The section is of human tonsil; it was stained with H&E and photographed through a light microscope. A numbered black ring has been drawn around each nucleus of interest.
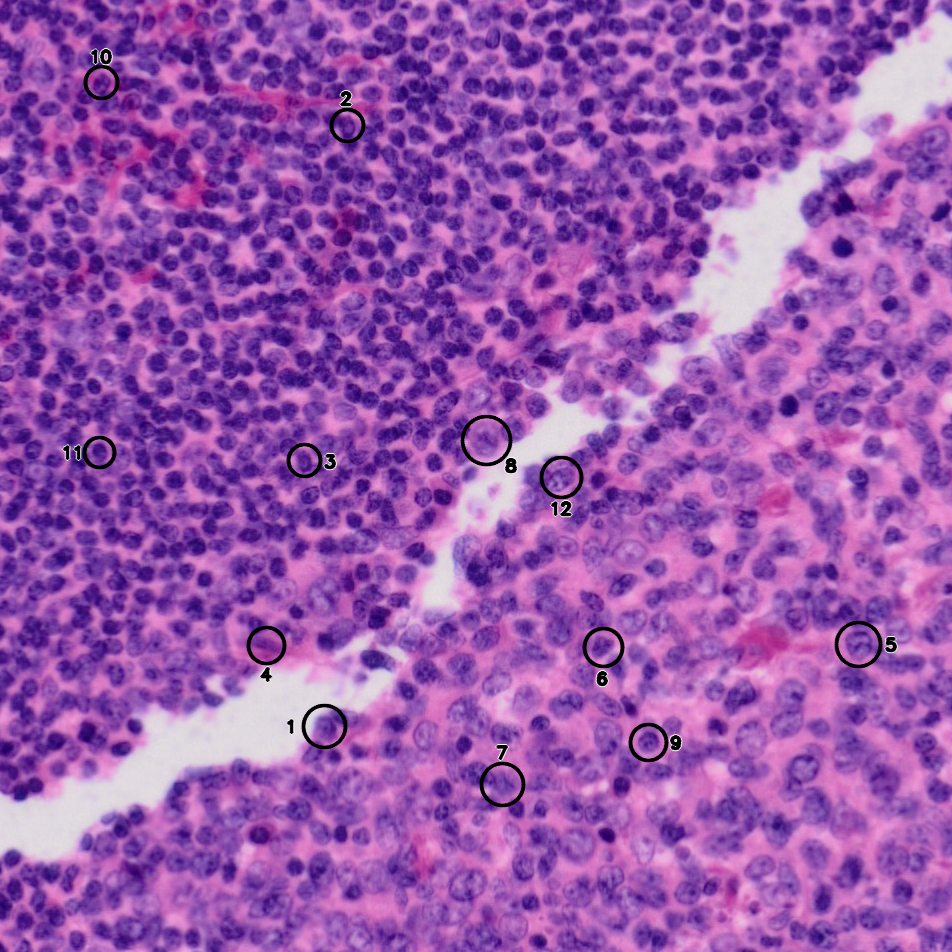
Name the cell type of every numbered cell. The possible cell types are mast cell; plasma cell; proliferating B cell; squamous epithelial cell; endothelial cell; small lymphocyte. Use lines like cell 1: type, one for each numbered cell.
cell 1: proliferating B cell
cell 2: small lymphocyte
cell 3: small lymphocyte
cell 4: endothelial cell
cell 5: proliferating B cell
cell 6: proliferating B cell
cell 7: proliferating B cell
cell 8: proliferating B cell
cell 9: proliferating B cell
cell 10: small lymphocyte
cell 11: small lymphocyte
cell 12: proliferating B cell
